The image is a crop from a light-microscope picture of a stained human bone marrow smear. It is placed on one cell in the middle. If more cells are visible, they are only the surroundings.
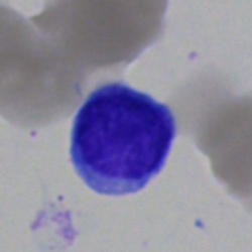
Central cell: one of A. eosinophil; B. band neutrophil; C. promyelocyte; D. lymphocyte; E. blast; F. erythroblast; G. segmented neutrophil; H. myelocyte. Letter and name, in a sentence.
Correctly, option D names the cell in the middle a lymphocyte.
